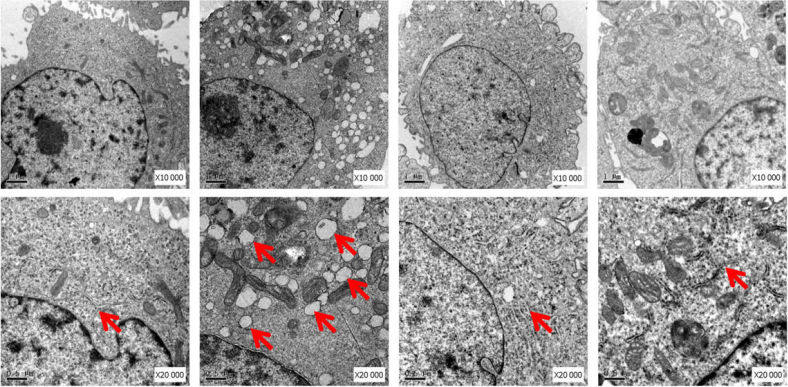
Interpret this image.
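The surrounding cytoplasm holds mitochondria with visible cristae, membrane profiles and scattered small vesicles. In one column the cytoplasm is crowded with many round, pale, empty-looking vacuoles of varying size, lying among dark, elongated mitochondria. In the other columns such pale vacuoles are few, and the cytoplasm looks more evenly textured.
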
